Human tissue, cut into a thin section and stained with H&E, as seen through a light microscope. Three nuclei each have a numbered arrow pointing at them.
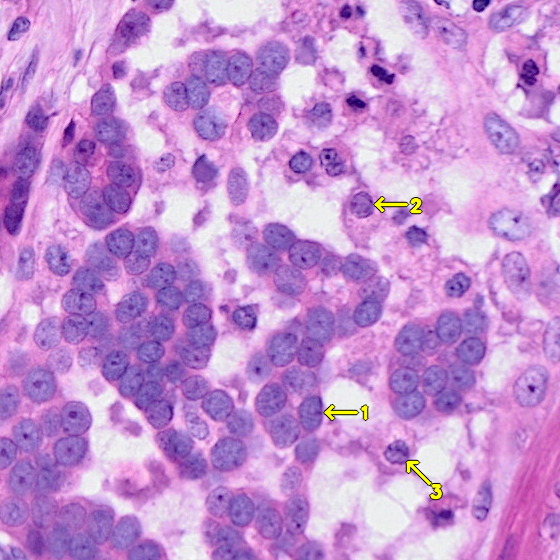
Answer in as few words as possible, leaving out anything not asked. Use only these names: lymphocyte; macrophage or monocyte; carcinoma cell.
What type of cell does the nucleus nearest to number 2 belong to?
lymphocyte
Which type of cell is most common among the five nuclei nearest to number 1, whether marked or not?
carcinoma cell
